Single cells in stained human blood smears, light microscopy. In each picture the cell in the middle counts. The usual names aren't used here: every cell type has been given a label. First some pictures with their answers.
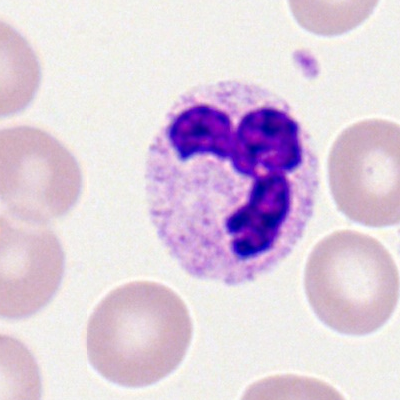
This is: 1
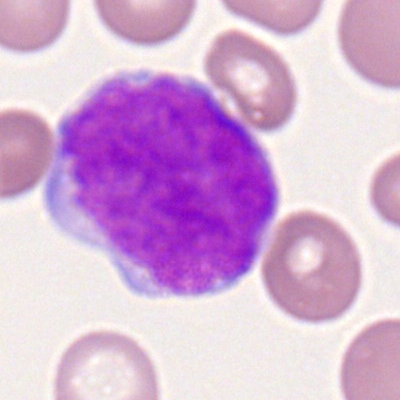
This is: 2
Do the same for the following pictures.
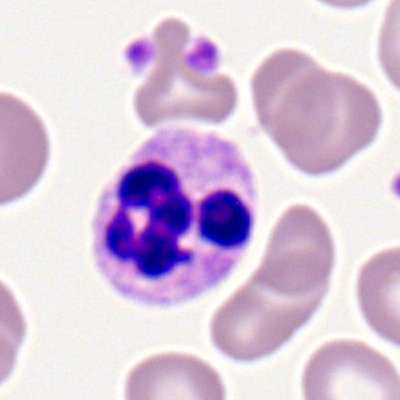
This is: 1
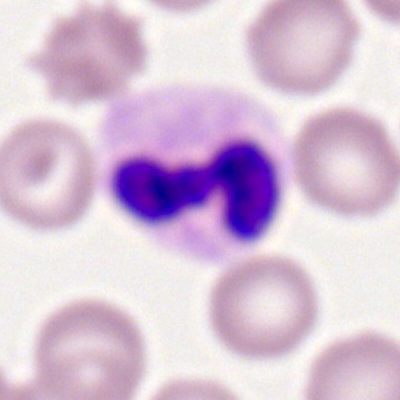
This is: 1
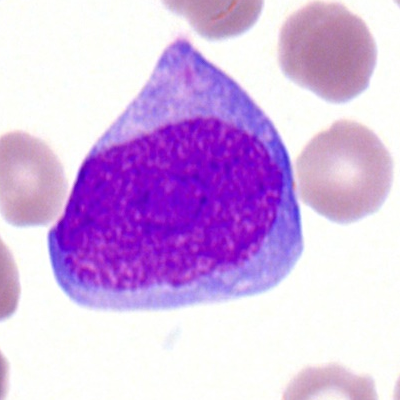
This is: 2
